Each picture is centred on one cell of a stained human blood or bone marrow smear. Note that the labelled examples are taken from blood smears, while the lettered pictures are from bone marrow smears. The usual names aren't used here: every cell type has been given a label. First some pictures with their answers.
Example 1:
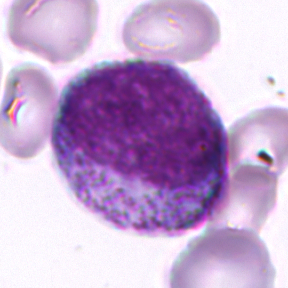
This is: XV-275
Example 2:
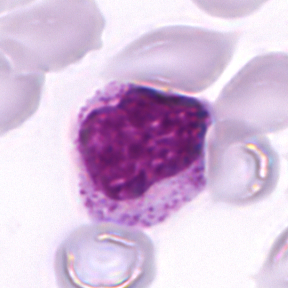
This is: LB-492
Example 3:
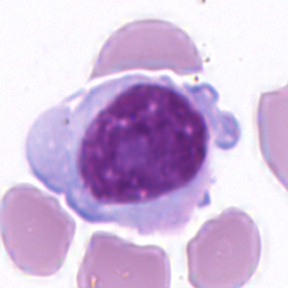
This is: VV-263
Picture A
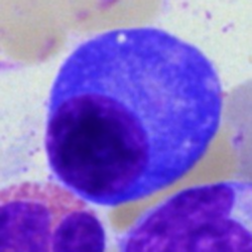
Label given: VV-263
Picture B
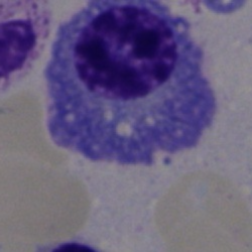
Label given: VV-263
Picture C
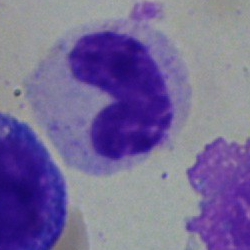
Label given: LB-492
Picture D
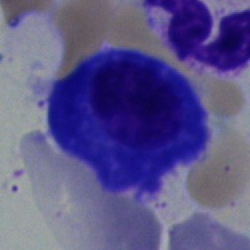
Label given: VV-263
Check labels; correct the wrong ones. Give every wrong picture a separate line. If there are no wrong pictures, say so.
Every label is right.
